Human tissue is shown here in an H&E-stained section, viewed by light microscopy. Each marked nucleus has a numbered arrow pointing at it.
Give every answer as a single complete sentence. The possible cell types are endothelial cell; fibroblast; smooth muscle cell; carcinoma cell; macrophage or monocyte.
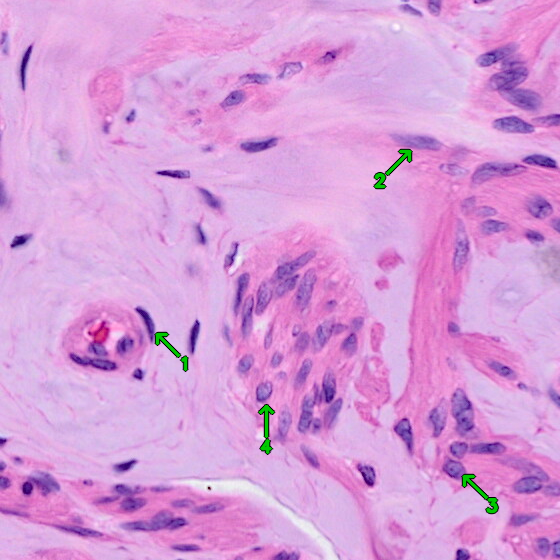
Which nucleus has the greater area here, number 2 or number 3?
At about 2 times the area of nucleus 3, nucleus 2 is the larger of the two.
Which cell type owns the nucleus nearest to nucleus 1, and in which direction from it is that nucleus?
An endothelial cell lies closest, below and to the left of nucleus 1.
